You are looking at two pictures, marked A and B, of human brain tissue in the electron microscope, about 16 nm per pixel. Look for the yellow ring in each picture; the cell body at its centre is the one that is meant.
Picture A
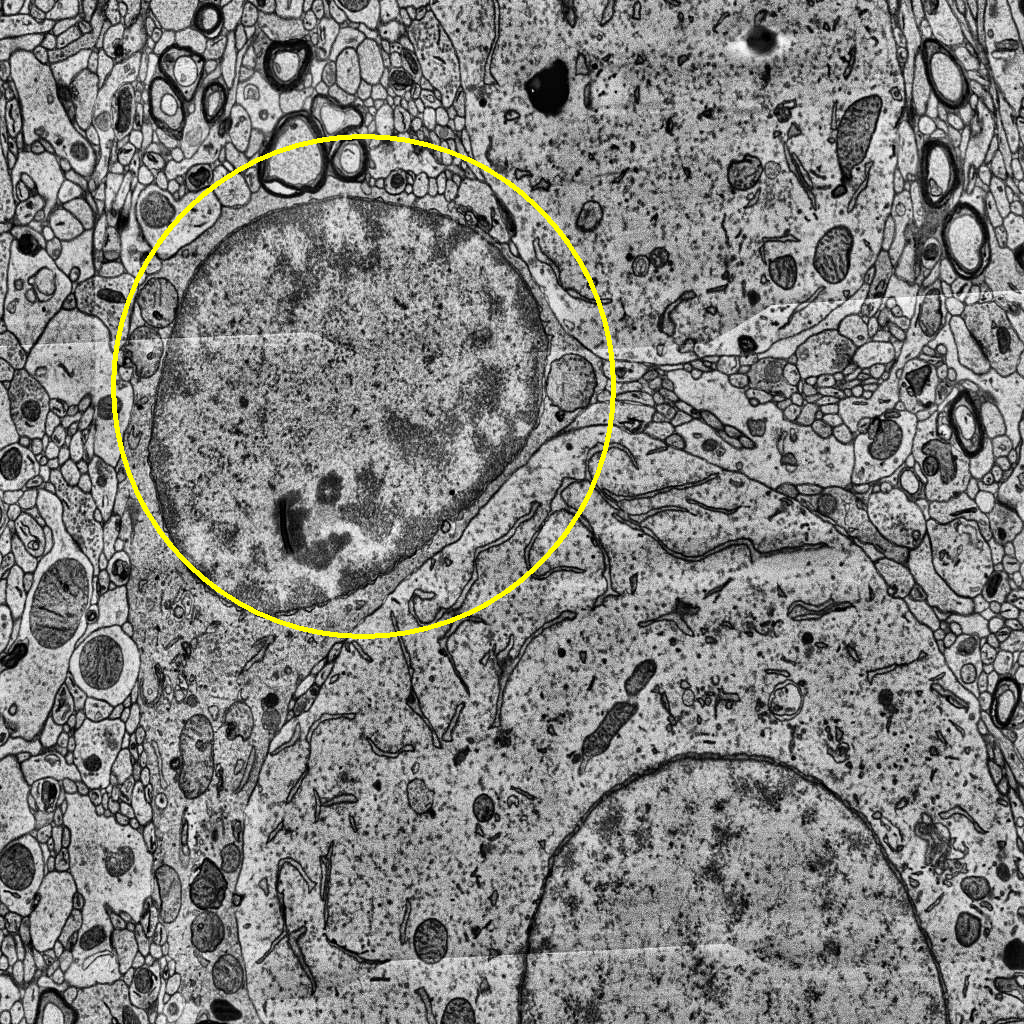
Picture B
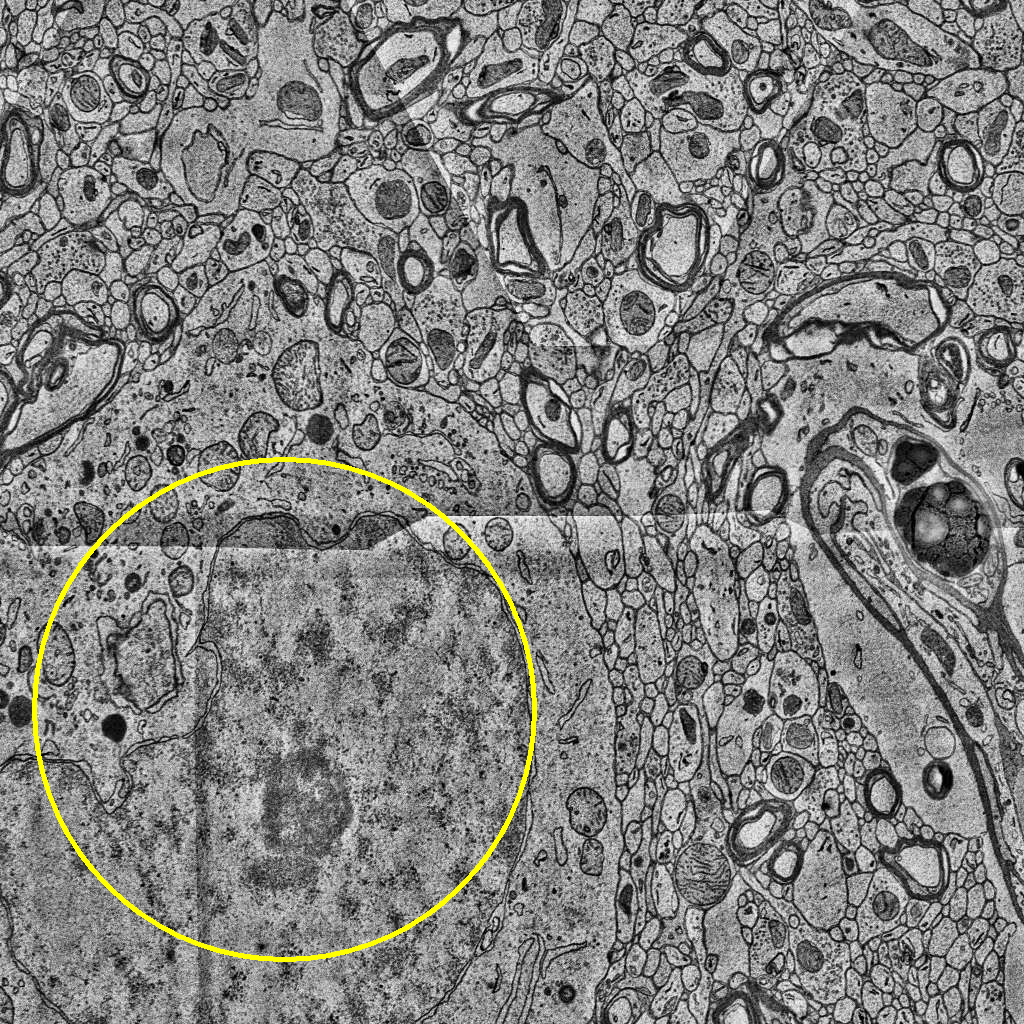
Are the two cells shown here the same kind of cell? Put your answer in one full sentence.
No, the types are not the same, since picture A shows an oligodendrocyte and picture B an interneuron.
